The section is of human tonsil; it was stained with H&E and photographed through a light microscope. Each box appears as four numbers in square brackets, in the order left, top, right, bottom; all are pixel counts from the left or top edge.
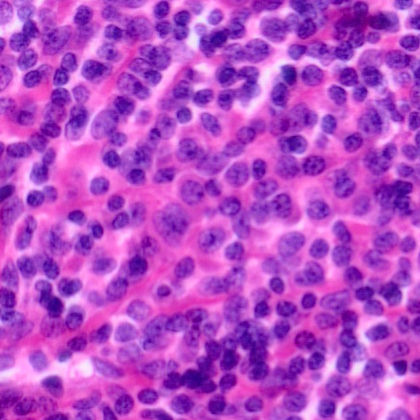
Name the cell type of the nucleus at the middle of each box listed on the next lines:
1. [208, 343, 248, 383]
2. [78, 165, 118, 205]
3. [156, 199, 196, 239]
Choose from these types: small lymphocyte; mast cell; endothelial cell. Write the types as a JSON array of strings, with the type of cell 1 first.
["small lymphocyte", "mast cell", "endothelial cell"]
